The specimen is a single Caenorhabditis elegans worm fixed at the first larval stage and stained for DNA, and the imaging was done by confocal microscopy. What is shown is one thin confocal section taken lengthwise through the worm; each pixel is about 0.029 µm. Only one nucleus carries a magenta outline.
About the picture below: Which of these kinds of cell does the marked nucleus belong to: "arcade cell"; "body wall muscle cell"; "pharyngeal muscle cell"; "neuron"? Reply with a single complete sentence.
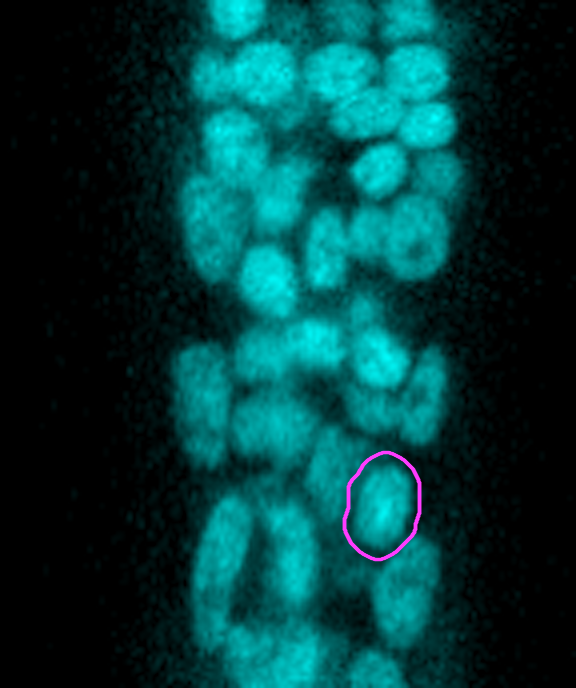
This nucleus is from an arcade cell.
